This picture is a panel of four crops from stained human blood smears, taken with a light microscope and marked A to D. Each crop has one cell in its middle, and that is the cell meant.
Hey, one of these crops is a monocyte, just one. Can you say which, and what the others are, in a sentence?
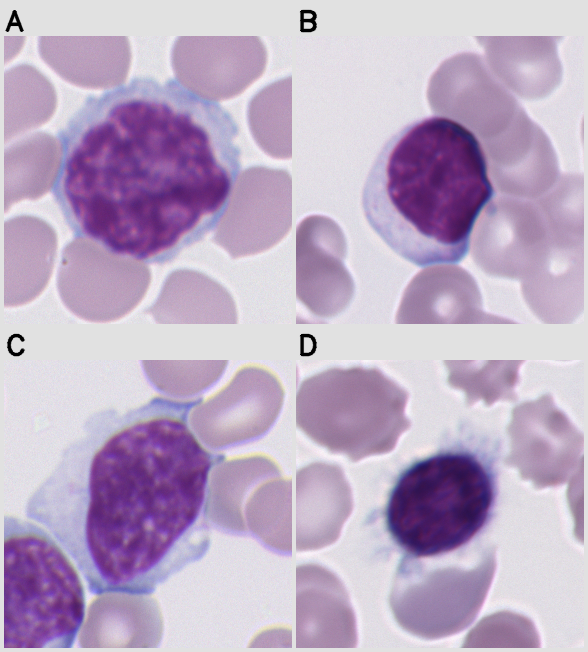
Crop A shows a monocyte, while in contrast crop B is a large granular lymphocyte, crop C is a myeloblast and crop D is a hairy cell.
